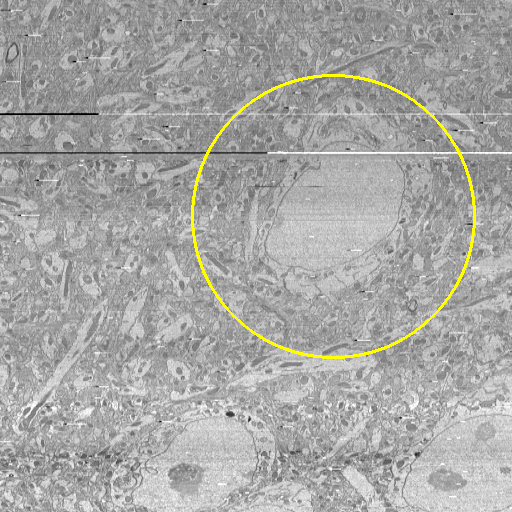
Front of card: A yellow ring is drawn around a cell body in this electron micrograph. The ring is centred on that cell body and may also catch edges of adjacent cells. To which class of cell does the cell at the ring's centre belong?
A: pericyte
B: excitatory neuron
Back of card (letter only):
B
